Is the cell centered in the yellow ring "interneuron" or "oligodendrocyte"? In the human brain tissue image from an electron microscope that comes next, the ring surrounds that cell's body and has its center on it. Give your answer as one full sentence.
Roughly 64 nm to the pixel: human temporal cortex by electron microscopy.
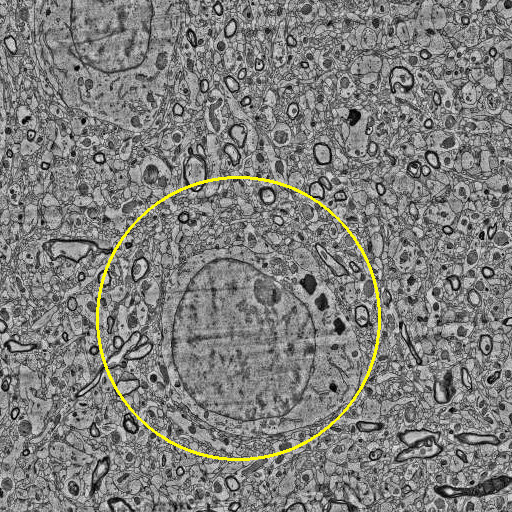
The cell at the center of the yellow ring is an interneuron in the micrograph.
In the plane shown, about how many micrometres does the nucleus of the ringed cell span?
Roughly 11 by 9 micrometres is the size of the nucleus in this plane.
